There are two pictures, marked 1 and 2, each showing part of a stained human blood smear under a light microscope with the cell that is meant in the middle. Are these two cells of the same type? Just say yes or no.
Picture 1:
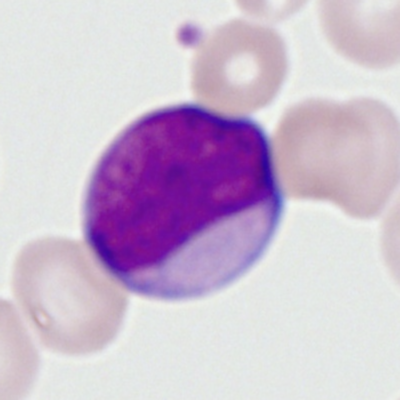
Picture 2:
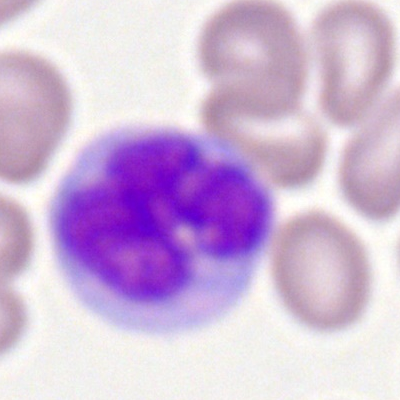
no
